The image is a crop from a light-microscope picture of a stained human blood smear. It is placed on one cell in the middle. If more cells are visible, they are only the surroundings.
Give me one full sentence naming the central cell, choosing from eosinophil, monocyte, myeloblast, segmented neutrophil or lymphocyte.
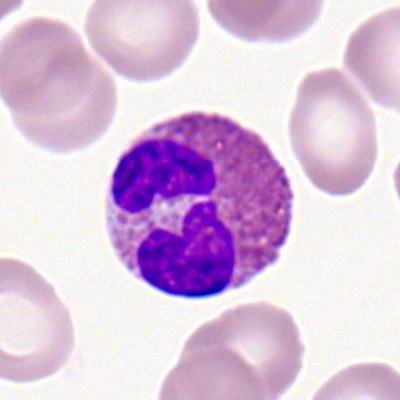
The centrally placed cell is classified as an eosinophil.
